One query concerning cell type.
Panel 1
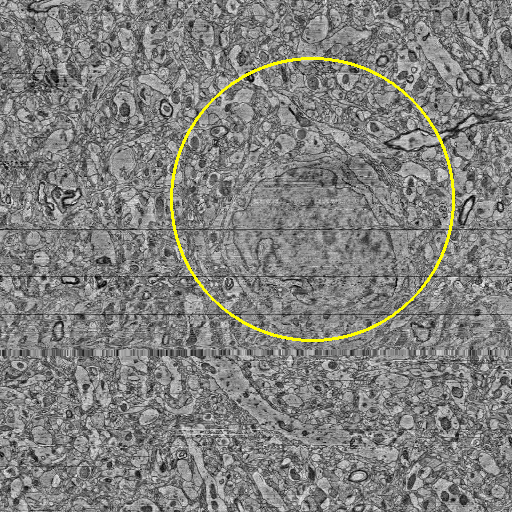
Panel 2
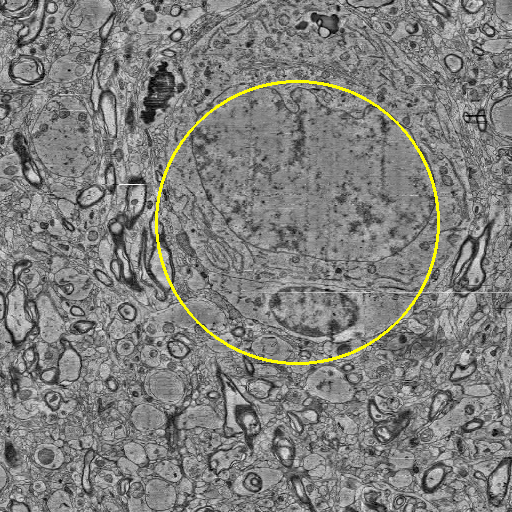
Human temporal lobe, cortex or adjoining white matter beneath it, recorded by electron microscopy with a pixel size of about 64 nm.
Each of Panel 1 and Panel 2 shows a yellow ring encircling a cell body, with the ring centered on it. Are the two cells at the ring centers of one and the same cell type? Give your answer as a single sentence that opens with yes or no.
Yes, the cell centered in Panel 1 and the one in Panel 2 share a type.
